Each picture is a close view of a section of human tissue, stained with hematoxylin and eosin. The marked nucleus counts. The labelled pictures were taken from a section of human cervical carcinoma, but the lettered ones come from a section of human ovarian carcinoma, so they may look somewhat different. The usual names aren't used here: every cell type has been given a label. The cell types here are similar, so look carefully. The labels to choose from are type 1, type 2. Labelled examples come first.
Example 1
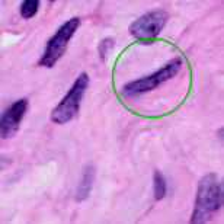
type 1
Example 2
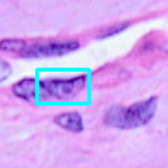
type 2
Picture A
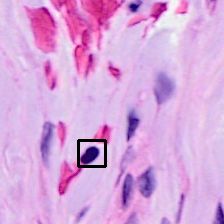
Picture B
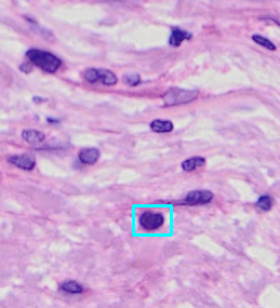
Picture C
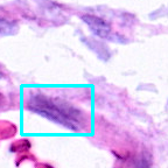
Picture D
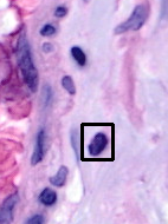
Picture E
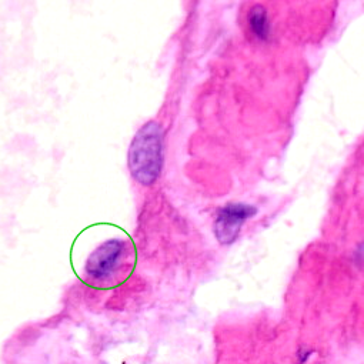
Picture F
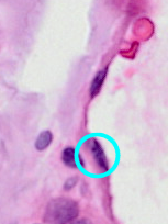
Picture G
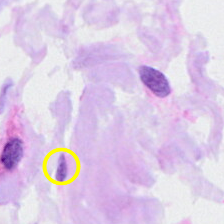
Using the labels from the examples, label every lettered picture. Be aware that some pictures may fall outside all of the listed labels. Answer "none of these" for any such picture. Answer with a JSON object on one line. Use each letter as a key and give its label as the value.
{"A": "none of these", "B": "none of these", "C": "type 2", "D": "none of these", "E": "type 2", "F": "type 2", "G": "type 1"}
